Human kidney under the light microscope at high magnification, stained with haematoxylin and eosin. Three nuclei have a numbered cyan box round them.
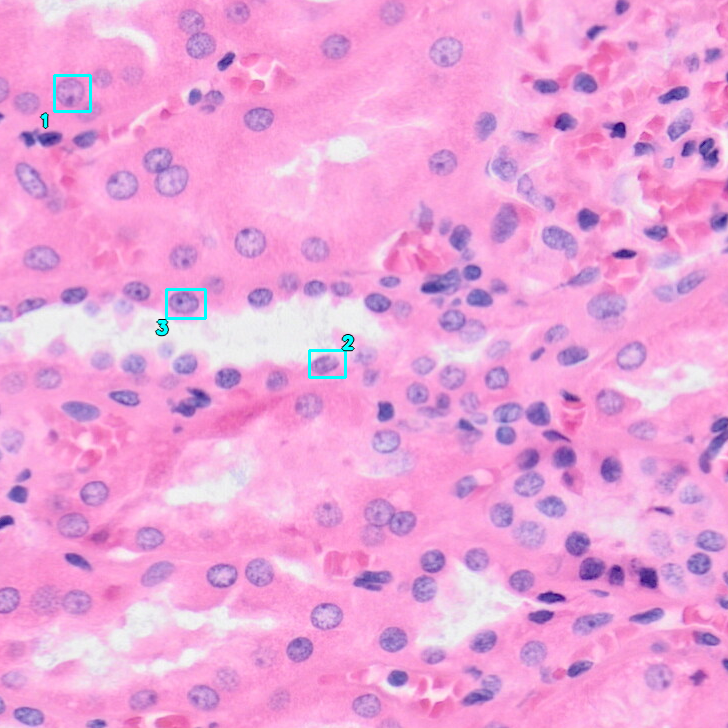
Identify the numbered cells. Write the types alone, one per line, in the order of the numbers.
proximal tubule cell
loop of Henle or distal tubule cell
loop of Henle or distal tubule cell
